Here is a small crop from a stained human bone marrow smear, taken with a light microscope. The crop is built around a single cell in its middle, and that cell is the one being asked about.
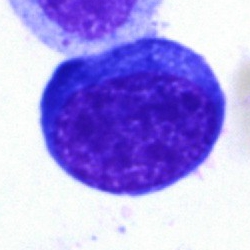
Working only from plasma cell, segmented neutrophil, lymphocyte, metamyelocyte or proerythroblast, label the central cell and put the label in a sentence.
As for the central cell, it is a proerythroblast.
